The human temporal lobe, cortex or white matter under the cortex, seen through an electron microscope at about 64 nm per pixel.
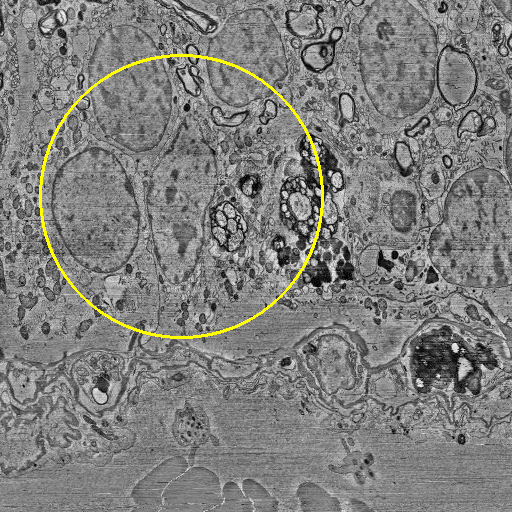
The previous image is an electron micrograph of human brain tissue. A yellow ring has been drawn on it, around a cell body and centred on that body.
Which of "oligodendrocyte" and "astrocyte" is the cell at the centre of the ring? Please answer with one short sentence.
The cell body at the centre of the ring belongs to an astrocyte.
